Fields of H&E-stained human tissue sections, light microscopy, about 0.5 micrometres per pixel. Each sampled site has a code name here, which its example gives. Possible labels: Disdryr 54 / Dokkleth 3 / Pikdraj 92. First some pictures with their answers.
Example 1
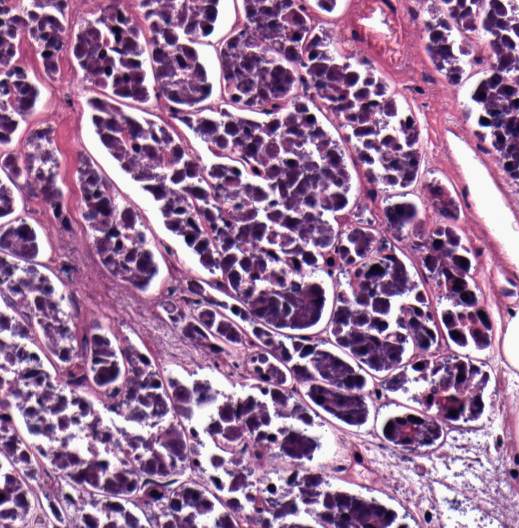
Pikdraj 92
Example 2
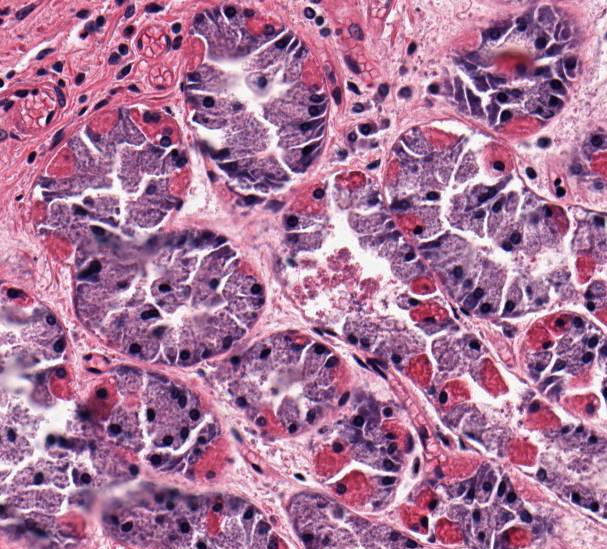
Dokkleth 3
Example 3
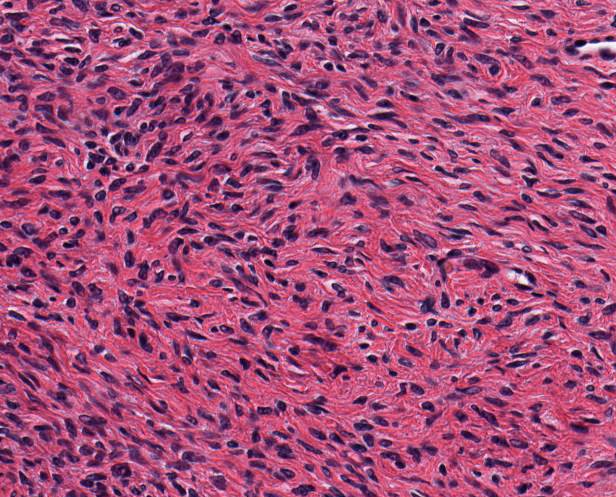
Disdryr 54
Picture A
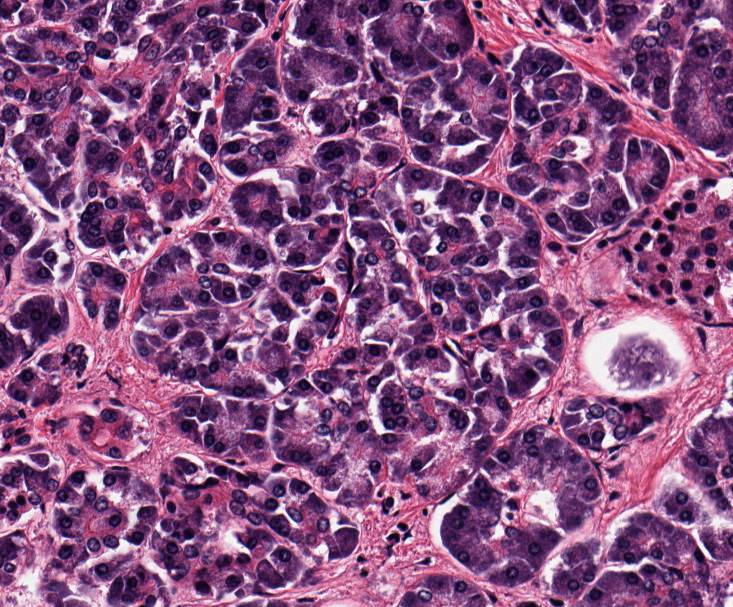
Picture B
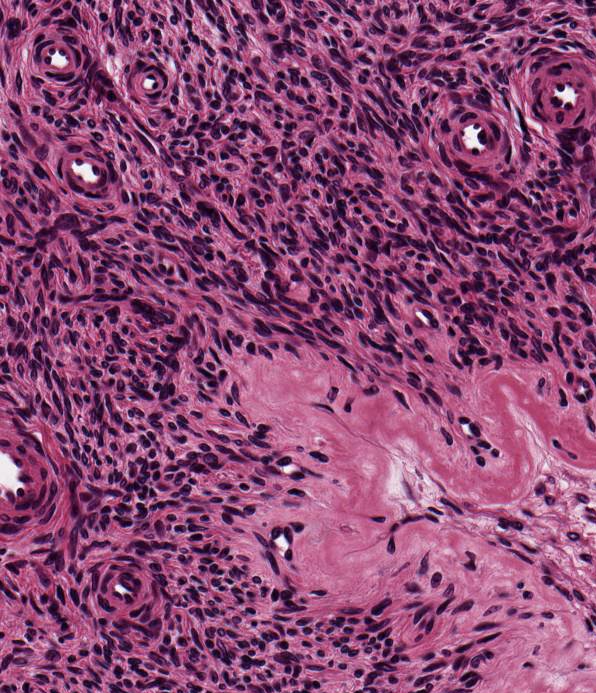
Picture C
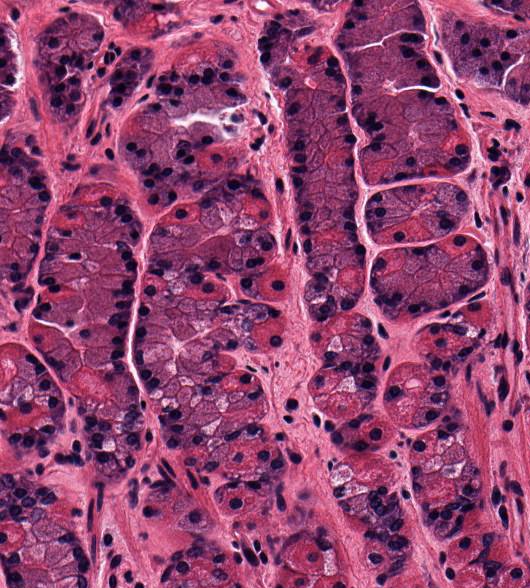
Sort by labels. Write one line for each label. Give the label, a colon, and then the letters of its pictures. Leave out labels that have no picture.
Disdryr 54: B
Dokkleth 3: C
Pikdraj 92: A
